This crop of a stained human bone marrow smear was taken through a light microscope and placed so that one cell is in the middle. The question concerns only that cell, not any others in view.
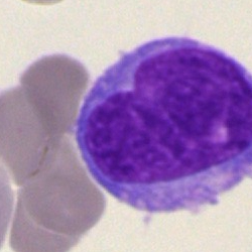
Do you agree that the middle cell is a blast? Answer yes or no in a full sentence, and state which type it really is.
Yes, a blast is what the central cell is.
